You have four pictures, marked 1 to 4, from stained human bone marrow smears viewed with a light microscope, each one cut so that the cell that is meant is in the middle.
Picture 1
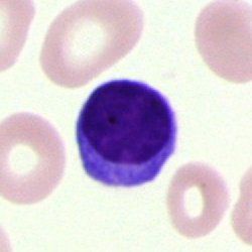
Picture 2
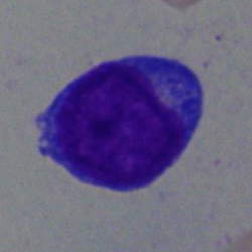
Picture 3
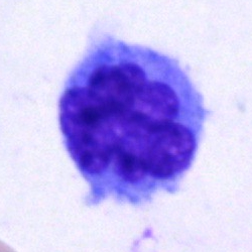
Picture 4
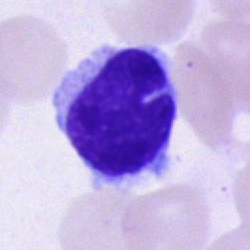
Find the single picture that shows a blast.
2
